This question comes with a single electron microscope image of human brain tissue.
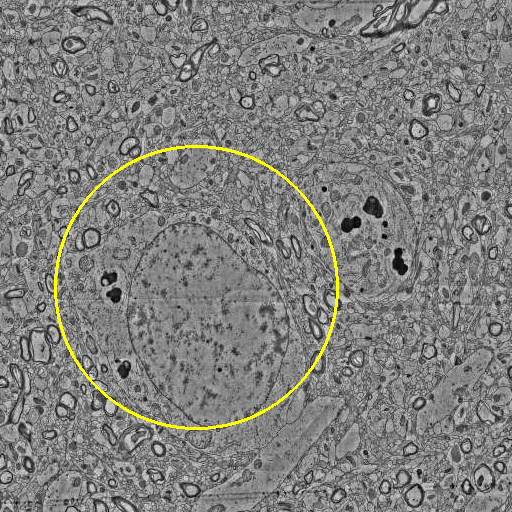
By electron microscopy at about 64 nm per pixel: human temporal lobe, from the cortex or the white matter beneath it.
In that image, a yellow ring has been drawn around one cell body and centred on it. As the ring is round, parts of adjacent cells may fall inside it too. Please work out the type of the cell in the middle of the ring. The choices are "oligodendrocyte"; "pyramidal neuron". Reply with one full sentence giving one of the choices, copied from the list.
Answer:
Of the choices, a pyramidal neuron is the cell sitting in the middle of the ring.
